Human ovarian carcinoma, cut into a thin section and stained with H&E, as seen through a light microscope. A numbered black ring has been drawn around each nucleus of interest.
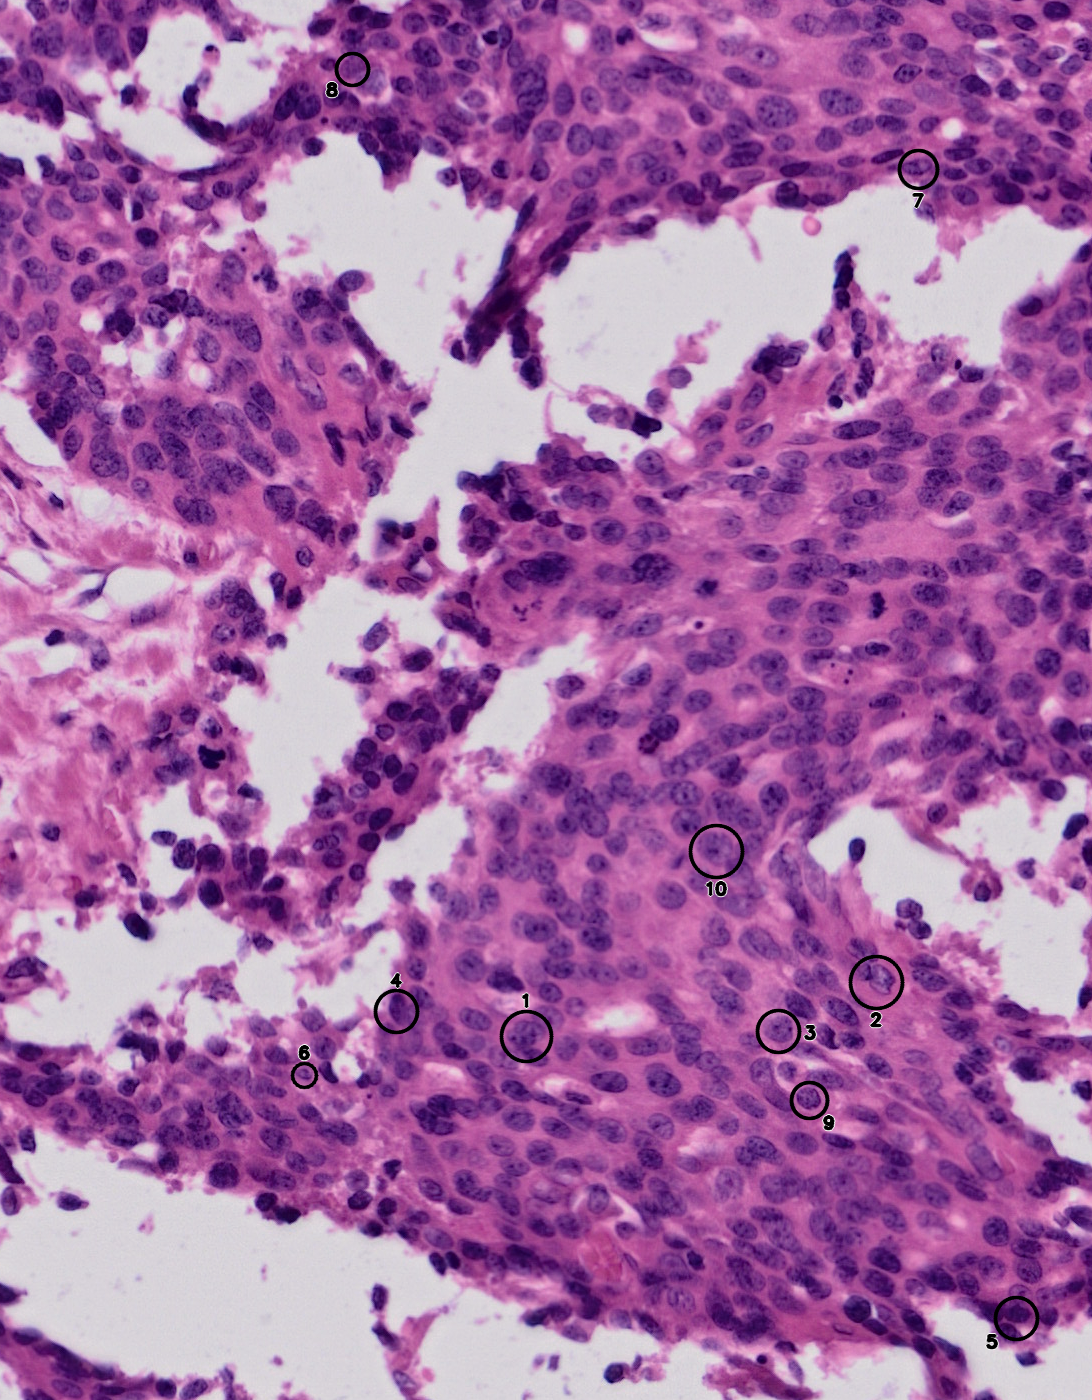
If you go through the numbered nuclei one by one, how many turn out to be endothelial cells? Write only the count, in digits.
1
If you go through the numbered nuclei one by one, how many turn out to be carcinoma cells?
6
